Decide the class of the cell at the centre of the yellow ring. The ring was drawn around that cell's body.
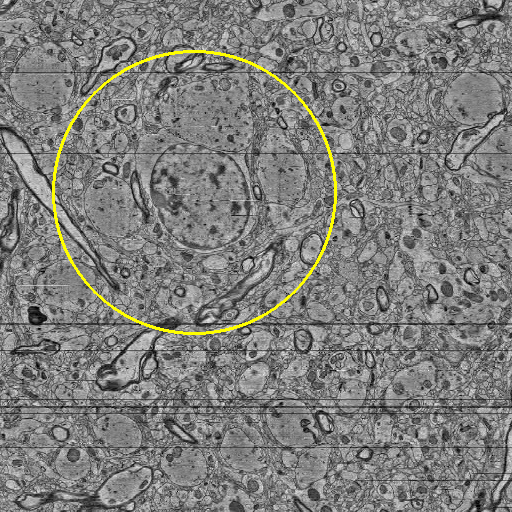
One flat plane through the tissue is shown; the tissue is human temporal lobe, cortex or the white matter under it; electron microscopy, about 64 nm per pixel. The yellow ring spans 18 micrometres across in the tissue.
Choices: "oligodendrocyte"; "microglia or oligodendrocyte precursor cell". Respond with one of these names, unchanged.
microglia or oligodendrocyte precursor cell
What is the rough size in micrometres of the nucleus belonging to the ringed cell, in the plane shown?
About 7 by 6 micrometres in this plane.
